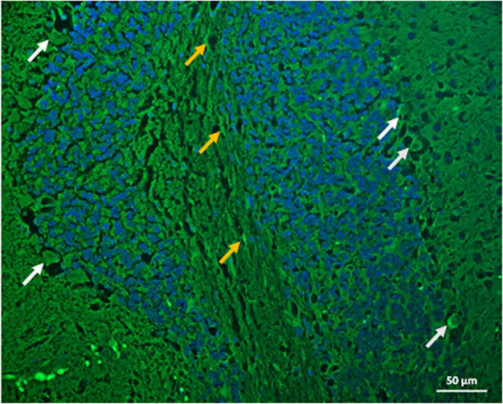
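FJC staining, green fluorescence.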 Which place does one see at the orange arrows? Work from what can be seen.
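The orange arrows lie in a central band with few nuclei and streaky, fibre-like texture. The band runs between two regions densely packed with blue nuclei.
White matter.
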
